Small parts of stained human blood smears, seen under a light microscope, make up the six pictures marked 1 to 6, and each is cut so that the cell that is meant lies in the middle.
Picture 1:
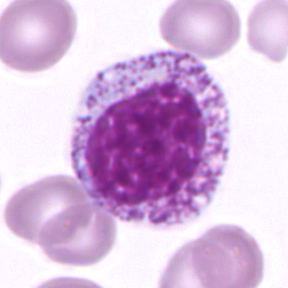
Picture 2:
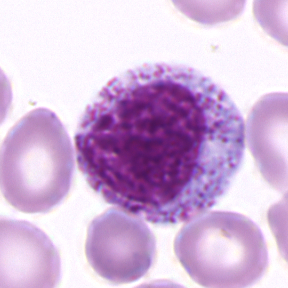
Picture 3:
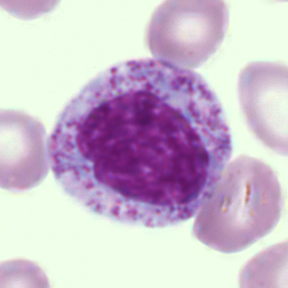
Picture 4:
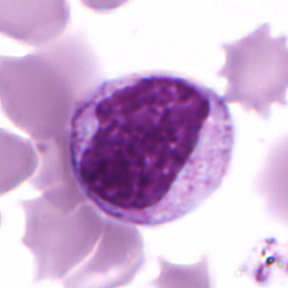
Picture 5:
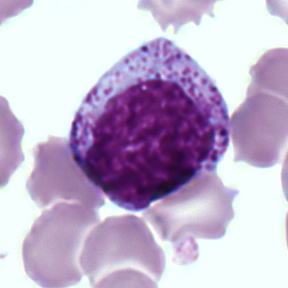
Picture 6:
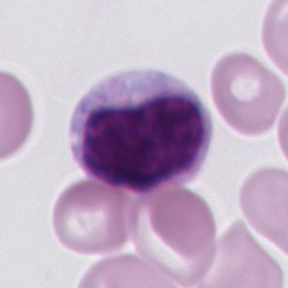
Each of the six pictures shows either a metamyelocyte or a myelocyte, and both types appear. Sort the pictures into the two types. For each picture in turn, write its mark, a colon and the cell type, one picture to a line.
1: myelocyte
2: myelocyte
3: myelocyte
4: metamyelocyte
5: myelocyte
6: metamyelocyte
